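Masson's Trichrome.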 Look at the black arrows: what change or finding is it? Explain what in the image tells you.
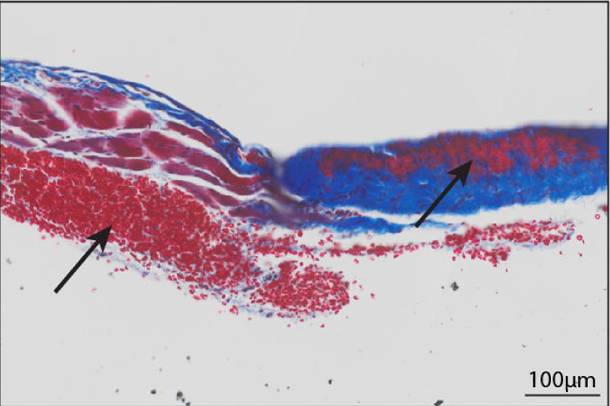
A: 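Haemorrhage. A large mass of small round red-staining cells lies loose beside the muscle, outside any vessel wall. Small red cells are scattered within the blue-stained connective tissue band on the right.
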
